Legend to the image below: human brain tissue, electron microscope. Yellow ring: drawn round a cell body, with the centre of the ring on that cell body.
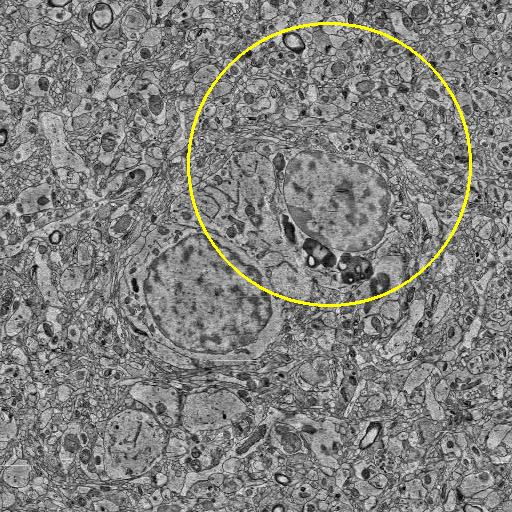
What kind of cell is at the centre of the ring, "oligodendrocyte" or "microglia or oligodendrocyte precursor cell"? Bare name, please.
microglia or oligodendrocyte precursor cell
